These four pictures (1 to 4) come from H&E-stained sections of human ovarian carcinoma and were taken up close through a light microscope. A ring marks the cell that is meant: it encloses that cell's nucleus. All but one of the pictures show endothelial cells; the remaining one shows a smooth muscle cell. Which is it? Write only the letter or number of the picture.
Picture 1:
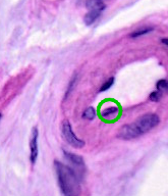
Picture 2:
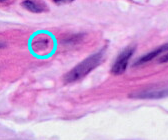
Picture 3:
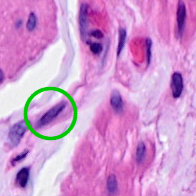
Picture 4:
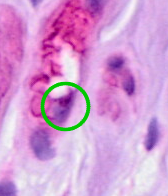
2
